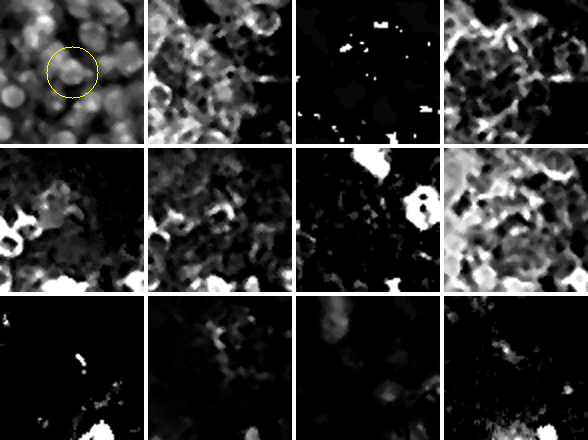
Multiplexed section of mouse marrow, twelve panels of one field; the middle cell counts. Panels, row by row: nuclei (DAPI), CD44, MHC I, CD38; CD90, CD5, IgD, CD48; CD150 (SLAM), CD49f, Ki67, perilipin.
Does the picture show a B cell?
Yes.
